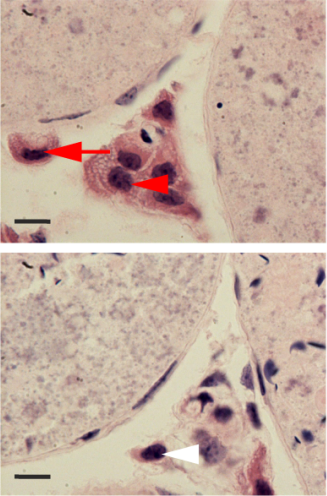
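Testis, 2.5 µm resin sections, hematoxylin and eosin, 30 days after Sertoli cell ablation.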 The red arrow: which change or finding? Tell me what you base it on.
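The marked cell has a dark, irregular, curved nucleus rather than a round one.
Altered nuclear shape.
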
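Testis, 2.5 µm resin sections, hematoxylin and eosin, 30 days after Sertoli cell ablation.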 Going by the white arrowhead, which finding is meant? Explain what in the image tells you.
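Reduced cytoplasmic volume. The marked cell is small with a dark nucleus and only a thin rim of cytoplasm.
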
